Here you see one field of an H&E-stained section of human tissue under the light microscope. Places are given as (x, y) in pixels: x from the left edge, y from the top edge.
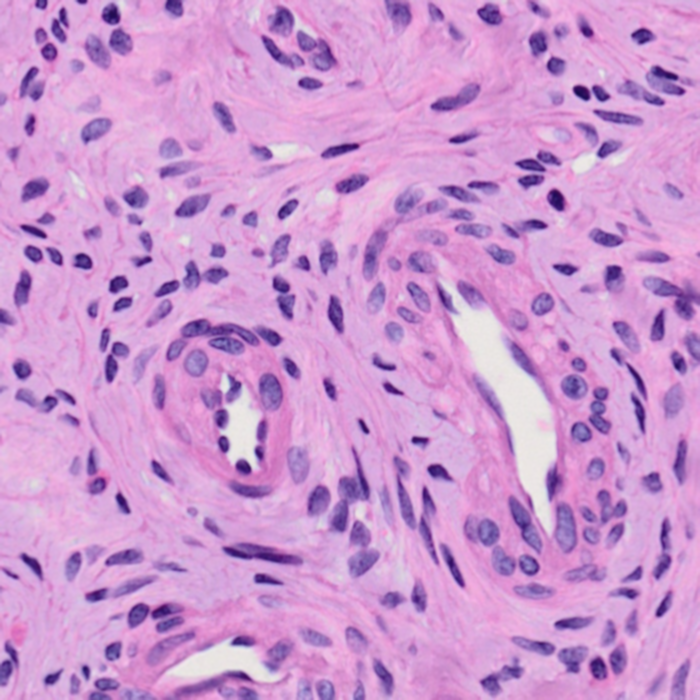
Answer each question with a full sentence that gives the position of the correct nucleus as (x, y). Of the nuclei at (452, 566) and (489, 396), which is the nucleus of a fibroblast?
Rather than the other nucleus, the one at (452, 566) belongs to a fibroblast.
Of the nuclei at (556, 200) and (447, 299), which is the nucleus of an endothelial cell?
Which one belongs to an endothelial cell? The nucleus at (447, 299) does.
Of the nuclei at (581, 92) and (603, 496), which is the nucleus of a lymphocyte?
The one at (581, 92) is the nucleus belonging to a lymphocyte, not the other one.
